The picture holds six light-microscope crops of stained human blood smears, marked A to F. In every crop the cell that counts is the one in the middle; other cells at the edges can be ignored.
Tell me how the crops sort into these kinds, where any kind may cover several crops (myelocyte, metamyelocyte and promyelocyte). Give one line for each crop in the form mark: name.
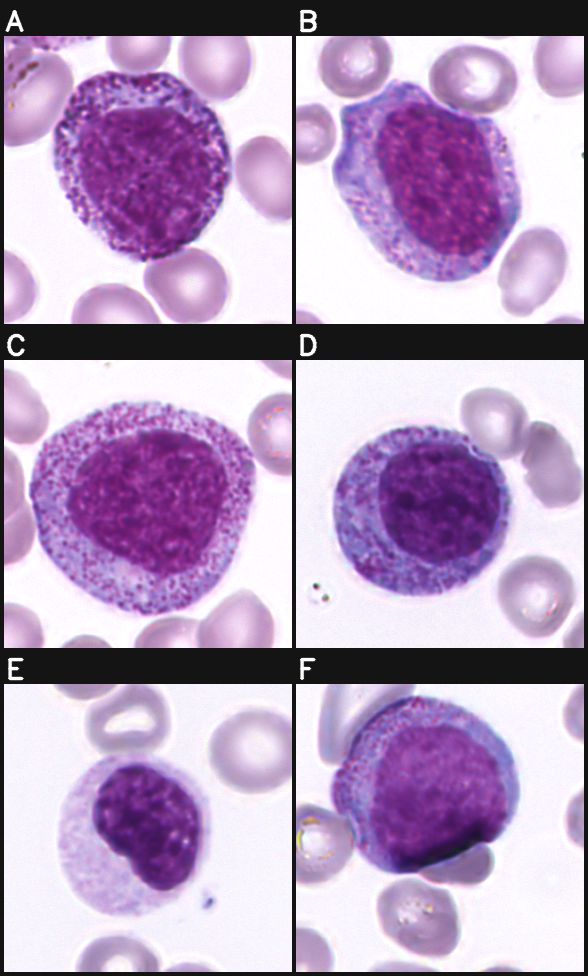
A: myelocyte
B: promyelocyte
C: myelocyte
D: promyelocyte
E: metamyelocyte
F: promyelocyte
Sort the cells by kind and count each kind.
promyelocyte: 3
myelocyte: 2
metamyelocyte: 1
